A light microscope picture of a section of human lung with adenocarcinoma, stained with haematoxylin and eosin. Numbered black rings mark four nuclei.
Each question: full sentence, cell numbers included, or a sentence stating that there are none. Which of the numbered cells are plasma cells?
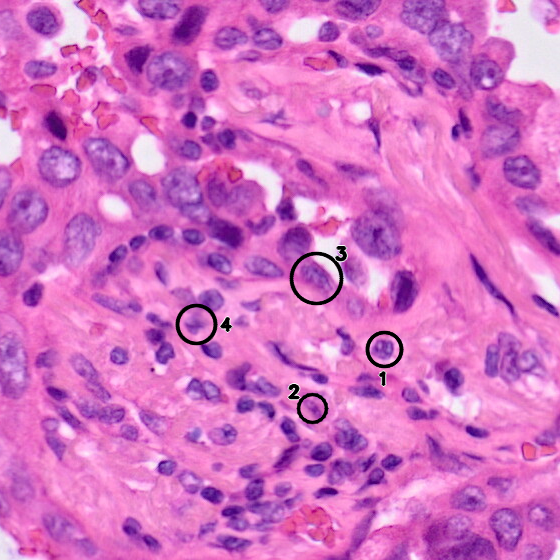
The nucleus numbered 2 is the only one that belongs to a plasma cell.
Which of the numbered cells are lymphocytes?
On this slide, the cells numbered 1 and 4 are lymphocytes.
